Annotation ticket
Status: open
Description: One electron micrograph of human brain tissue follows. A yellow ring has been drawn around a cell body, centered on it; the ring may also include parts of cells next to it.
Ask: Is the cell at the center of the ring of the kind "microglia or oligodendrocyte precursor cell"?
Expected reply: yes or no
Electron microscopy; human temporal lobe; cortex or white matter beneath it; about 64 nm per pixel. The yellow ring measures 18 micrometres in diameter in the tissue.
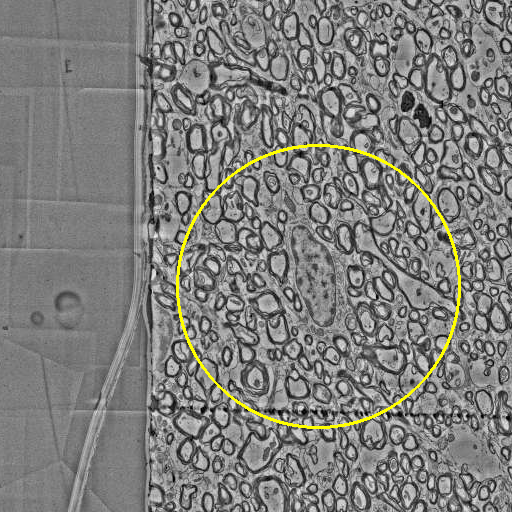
yes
